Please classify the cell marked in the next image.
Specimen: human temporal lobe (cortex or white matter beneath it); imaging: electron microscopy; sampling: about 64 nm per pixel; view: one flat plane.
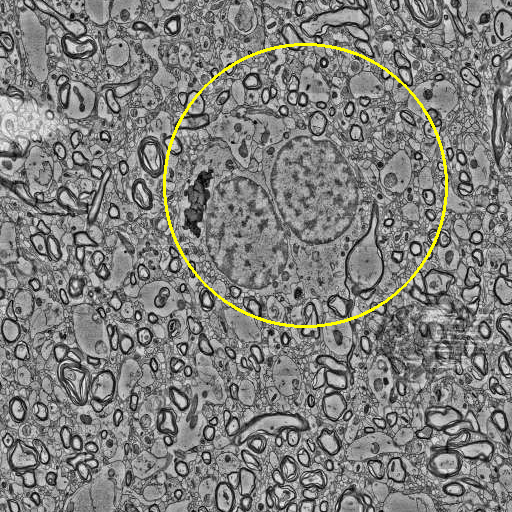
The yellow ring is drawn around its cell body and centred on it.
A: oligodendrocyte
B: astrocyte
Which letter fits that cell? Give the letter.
A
